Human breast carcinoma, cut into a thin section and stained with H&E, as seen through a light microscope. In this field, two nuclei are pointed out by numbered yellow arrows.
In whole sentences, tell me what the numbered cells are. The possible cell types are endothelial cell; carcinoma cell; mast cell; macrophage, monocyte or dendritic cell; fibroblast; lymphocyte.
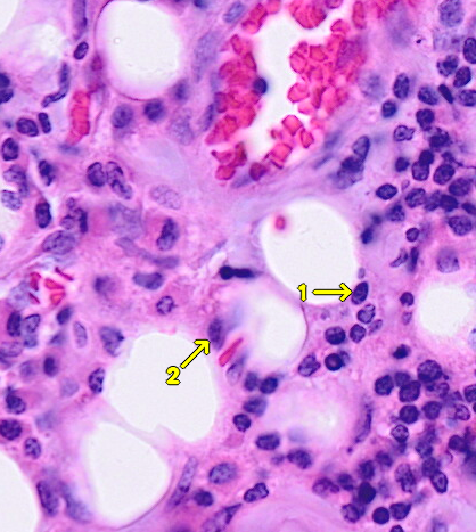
Cell 1 is a lymphocyte and cell 2 is an endothelial cell.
